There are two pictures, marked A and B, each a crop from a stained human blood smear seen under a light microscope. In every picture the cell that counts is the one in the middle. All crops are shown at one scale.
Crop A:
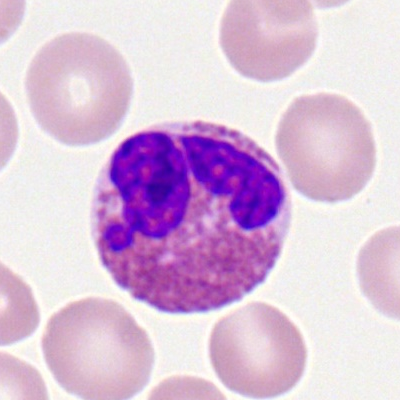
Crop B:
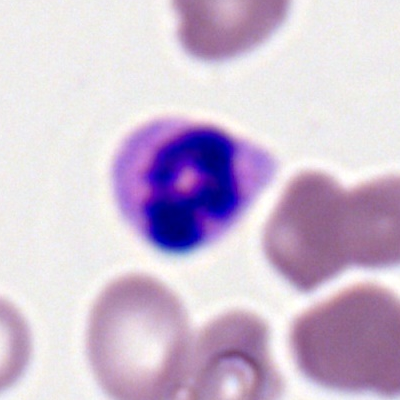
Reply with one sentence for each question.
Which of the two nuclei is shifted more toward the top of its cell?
Seen within its cell, the nucleus in crop A lies further toward the top.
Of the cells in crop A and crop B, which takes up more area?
It is the cell in crop A, about 2 times as large in area as the cell in crop B.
